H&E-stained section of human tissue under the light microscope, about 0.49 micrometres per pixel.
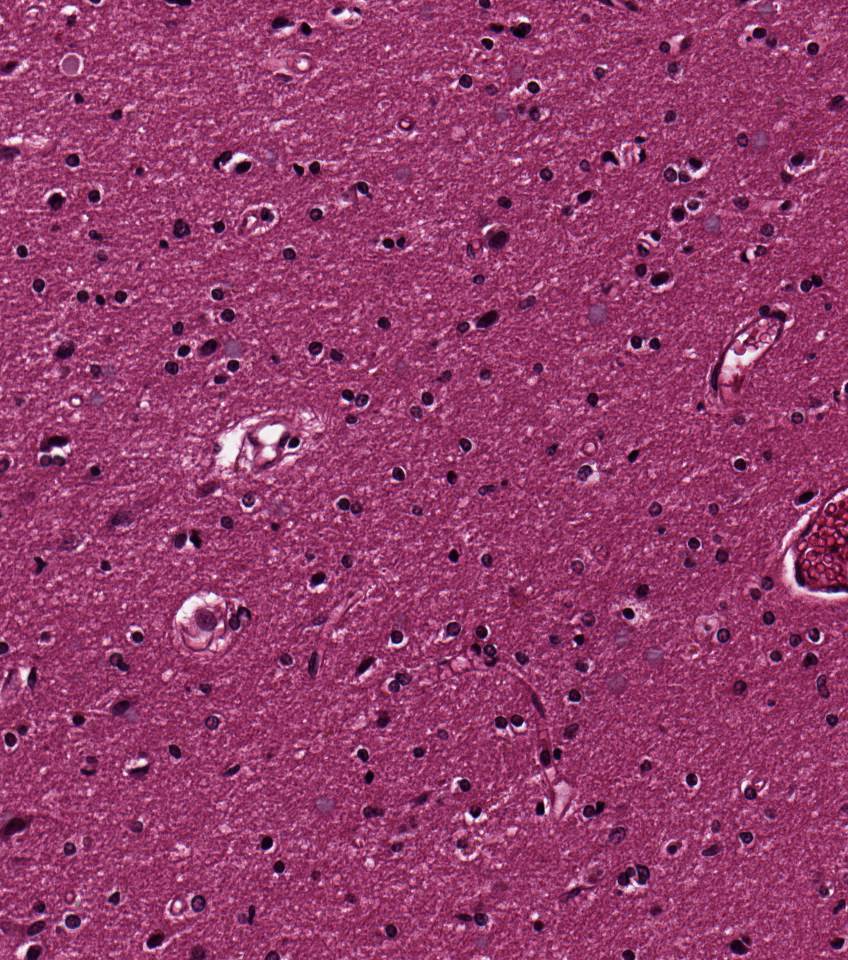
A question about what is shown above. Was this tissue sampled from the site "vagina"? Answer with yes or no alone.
no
